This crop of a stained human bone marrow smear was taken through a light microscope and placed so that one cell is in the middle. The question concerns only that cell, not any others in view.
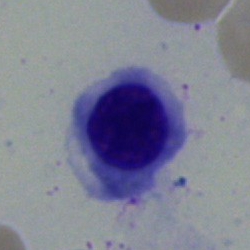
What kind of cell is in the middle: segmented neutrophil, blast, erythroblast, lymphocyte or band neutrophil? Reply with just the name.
erythroblast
